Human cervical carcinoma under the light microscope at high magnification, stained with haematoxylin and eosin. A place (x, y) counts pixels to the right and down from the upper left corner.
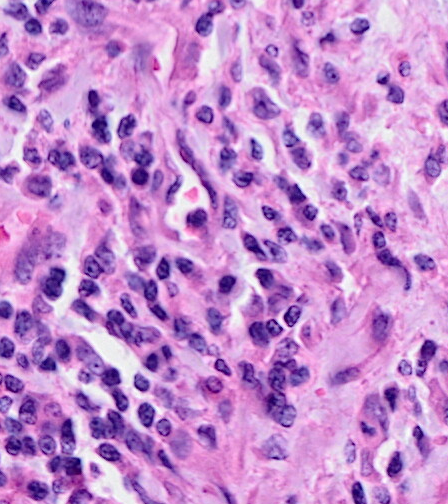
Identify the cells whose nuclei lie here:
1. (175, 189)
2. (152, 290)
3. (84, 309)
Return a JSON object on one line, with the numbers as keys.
{"1": "endothelial cell", "2": "lymphocyte", "3": "lymphocyte"}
